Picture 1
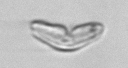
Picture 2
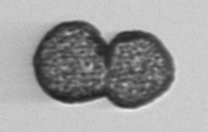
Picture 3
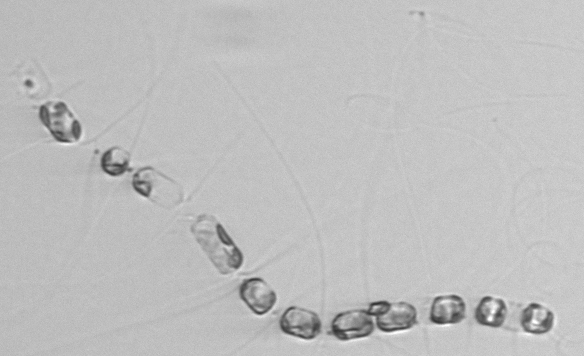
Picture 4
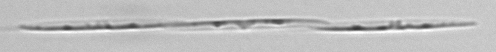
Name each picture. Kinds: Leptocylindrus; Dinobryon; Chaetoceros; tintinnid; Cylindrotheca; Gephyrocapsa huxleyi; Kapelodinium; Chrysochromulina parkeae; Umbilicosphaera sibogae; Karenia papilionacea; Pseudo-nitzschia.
Picture 1: Karenia papilionacea
Picture 2: Umbilicosphaera sibogae
Picture 3: Chaetoceros
Picture 4: Pseudo-nitzschia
